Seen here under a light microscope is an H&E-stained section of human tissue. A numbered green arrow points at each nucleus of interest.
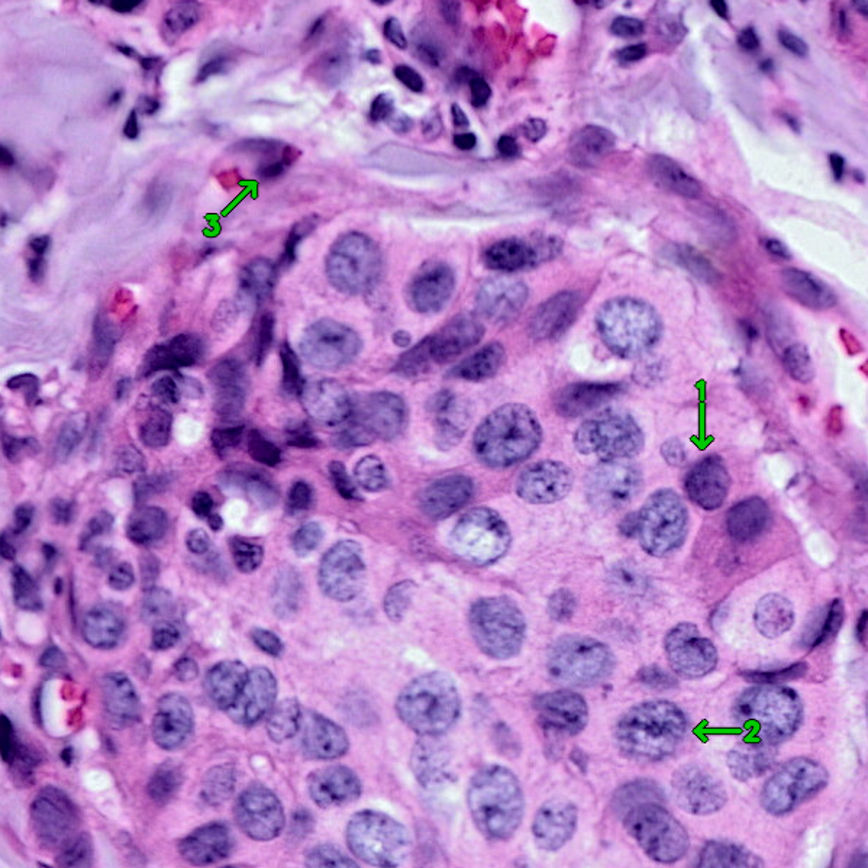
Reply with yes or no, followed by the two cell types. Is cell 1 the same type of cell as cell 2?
Yes, both of the numbered cells concerned, 1 and 2, are carcinoma cells.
